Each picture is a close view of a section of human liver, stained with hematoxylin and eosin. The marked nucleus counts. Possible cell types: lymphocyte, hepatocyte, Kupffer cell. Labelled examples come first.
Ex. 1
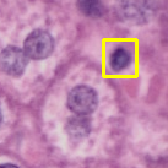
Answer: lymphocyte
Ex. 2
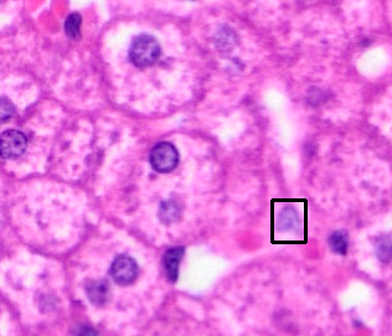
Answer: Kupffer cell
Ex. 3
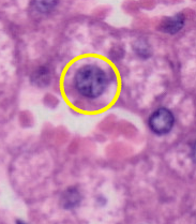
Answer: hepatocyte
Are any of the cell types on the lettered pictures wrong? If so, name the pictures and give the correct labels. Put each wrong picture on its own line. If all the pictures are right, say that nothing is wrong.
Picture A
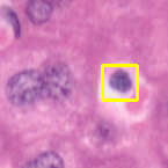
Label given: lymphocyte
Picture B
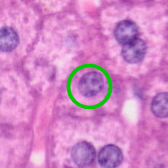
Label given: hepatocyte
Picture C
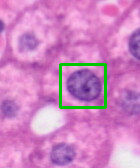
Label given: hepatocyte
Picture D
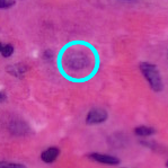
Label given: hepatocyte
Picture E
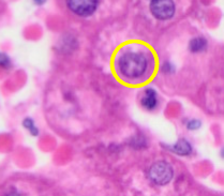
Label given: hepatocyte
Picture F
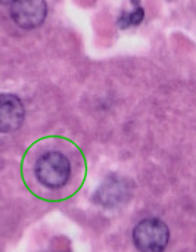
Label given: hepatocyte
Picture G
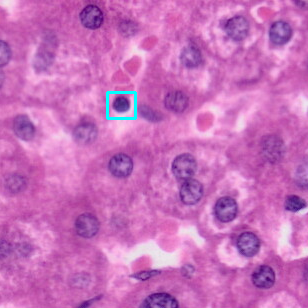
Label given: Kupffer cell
G is labelled Kupffer cell; correct label: lymphocyte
